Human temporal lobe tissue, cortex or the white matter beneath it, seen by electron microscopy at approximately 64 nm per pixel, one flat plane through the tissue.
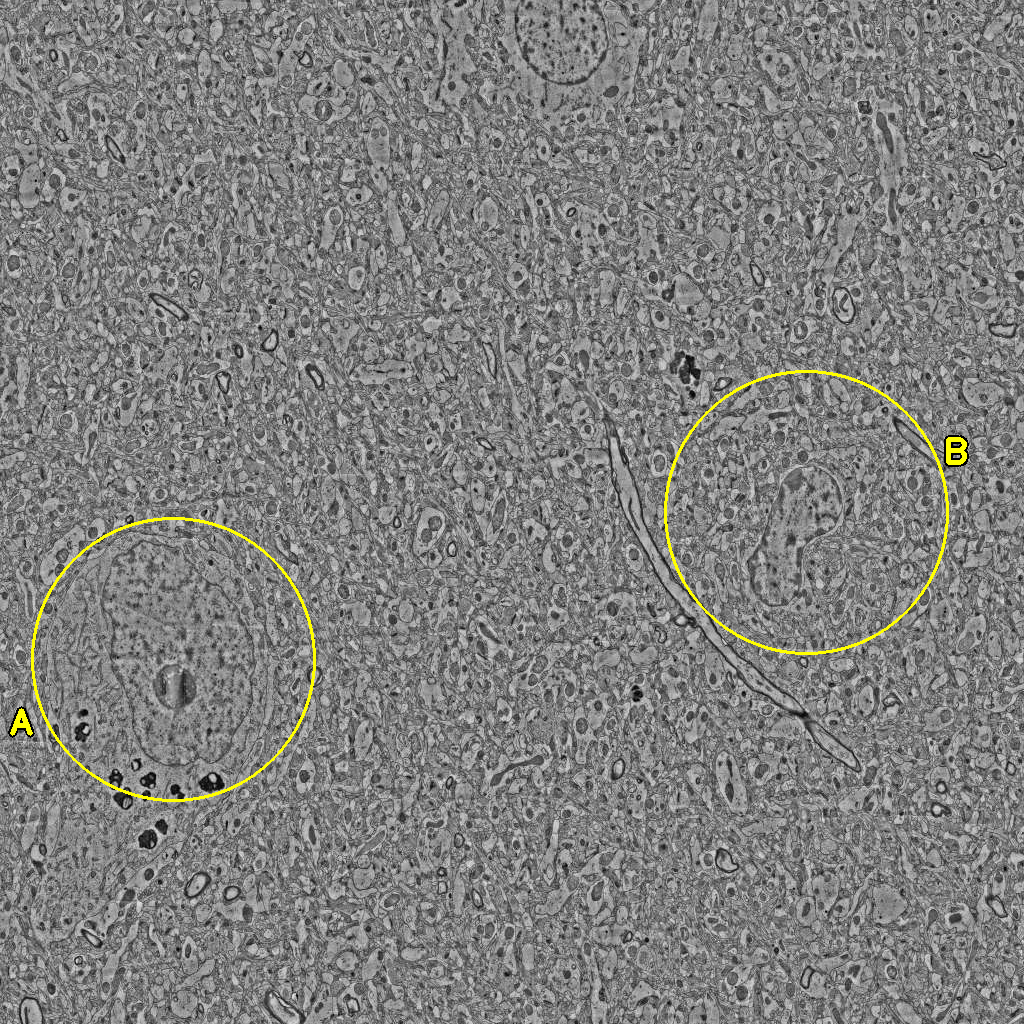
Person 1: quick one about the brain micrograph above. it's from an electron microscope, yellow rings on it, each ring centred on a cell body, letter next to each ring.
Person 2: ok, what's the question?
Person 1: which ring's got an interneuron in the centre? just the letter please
A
